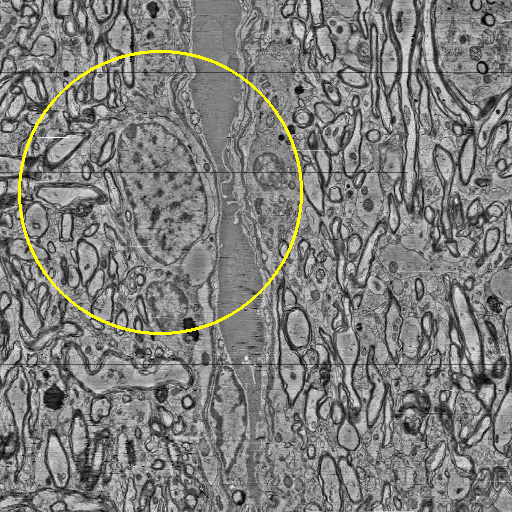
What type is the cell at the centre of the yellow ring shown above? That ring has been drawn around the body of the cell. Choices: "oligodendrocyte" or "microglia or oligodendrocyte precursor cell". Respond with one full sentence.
My answer is that a microglial cell or oligodendrocyte precursor cell lies at the centre of the yellow ring above.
